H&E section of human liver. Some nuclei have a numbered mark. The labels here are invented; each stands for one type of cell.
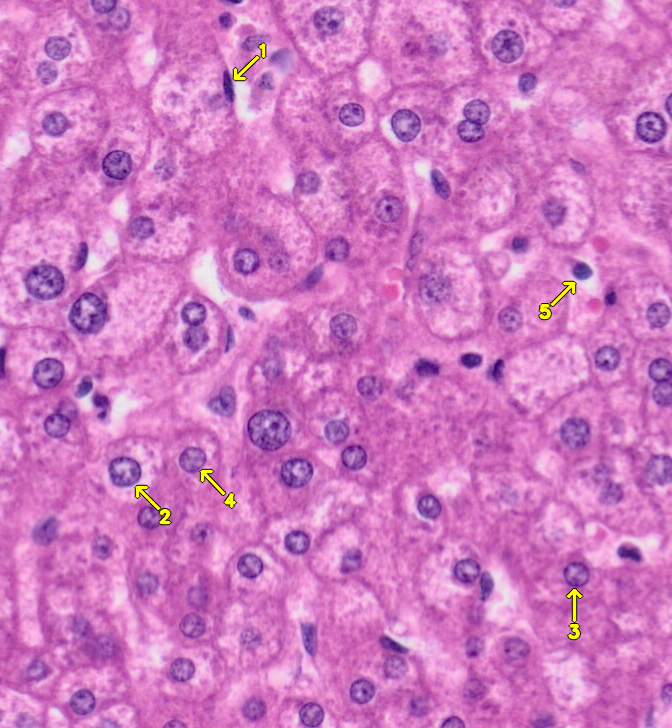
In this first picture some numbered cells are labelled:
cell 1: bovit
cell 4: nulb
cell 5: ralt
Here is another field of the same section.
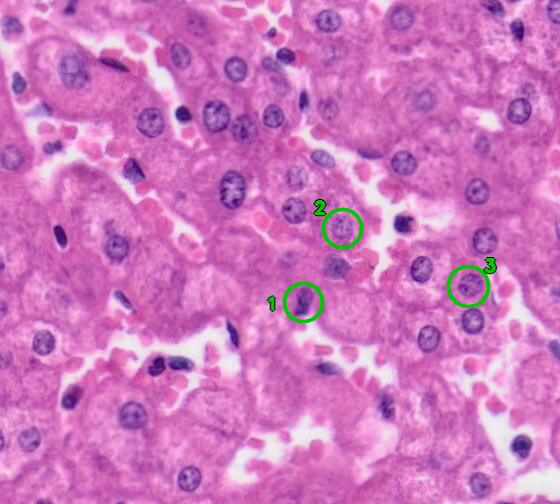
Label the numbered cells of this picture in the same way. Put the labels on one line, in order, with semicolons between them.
bovit; nulb; nulb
